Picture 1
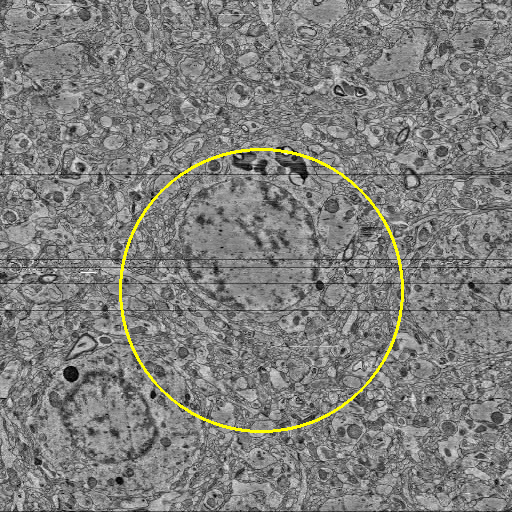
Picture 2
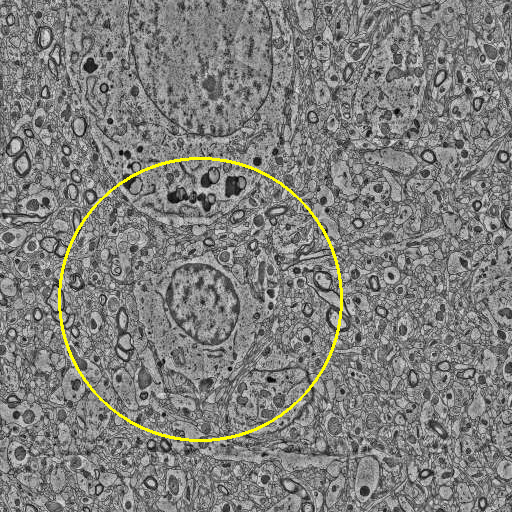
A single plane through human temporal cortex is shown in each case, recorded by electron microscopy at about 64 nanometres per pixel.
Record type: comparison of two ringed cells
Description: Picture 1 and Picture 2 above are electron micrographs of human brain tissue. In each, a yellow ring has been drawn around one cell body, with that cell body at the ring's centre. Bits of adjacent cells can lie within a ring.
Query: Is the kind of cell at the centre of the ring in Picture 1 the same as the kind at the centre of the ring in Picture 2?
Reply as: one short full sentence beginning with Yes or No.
No, the two ringed cells are of two separate kinds.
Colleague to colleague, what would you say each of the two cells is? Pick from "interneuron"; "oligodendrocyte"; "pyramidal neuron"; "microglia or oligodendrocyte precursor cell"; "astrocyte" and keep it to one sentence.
The cell in the first picture is an interneuron; the second picture's cell is a microglial cell or oligodendrocyte precursor cell.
